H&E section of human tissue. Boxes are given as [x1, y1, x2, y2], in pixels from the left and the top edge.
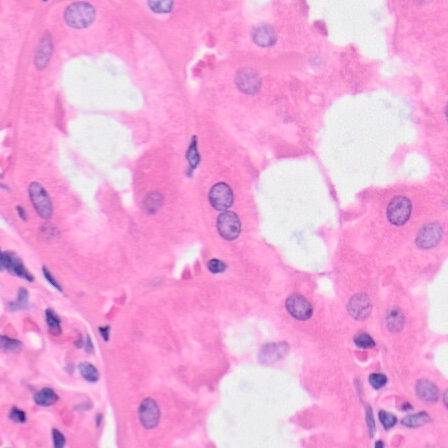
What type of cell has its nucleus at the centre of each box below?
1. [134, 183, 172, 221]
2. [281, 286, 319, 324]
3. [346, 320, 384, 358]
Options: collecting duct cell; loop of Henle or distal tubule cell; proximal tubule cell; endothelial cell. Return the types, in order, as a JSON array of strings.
["proximal tubule cell", "proximal tubule cell", "endothelial cell"]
